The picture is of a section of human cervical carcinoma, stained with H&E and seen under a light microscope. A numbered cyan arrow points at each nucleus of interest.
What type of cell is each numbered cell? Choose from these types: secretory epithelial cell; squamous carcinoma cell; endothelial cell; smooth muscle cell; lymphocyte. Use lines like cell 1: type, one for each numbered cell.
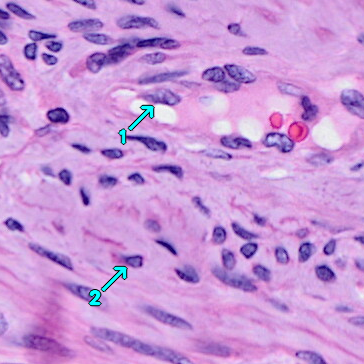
cell 1: endothelial cell
cell 2: smooth muscle cell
